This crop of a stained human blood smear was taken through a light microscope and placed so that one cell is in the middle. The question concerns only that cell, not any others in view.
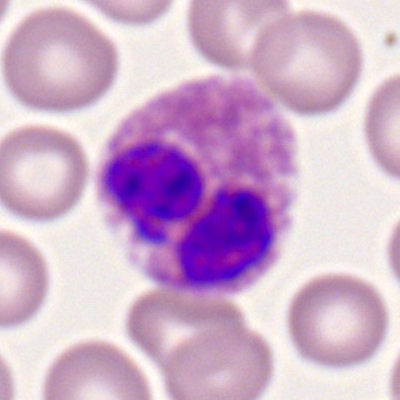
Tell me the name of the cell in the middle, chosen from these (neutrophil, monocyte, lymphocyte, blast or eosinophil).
eosinophil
